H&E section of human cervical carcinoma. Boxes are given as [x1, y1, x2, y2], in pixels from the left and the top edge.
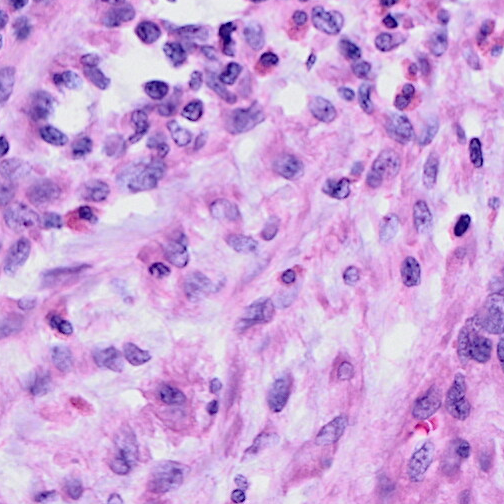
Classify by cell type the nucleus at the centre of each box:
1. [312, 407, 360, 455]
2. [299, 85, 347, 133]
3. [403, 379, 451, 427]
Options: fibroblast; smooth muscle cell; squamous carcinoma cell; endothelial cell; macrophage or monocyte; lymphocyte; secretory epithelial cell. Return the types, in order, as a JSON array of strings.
["fibroblast", "macrophage or monocyte", "endothelial cell"]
